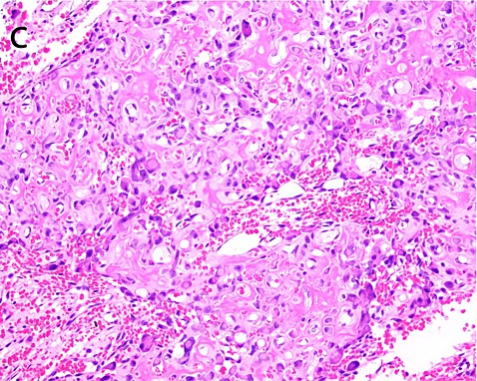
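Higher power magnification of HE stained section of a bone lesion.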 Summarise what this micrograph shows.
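Epithelioid osteoblasts with pink cytoplasm lie among pink strands of delicate osteoid, with scattered multinucleated giant cells. Many red blood cells fill the stroma between them, showing its rich vascularity.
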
